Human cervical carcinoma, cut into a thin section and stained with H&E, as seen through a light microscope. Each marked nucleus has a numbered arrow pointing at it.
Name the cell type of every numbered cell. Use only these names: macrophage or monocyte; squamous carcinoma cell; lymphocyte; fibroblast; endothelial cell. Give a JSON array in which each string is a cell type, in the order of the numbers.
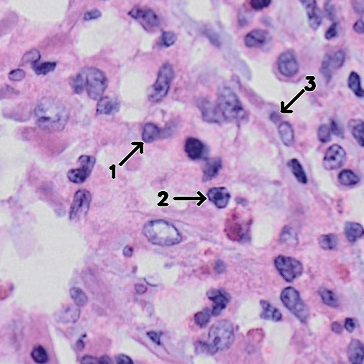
["macrophage or monocyte", "lymphocyte", "fibroblast"]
